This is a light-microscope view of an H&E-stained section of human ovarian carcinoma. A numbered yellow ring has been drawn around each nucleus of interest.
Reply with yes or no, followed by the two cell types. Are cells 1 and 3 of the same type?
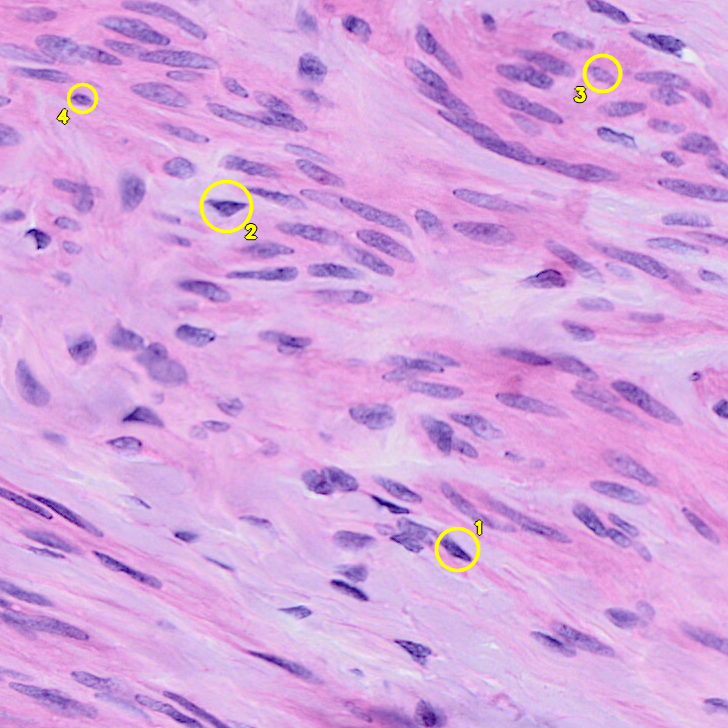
Yes, in the case of cells 1 and 3, both are smooth muscle cells.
